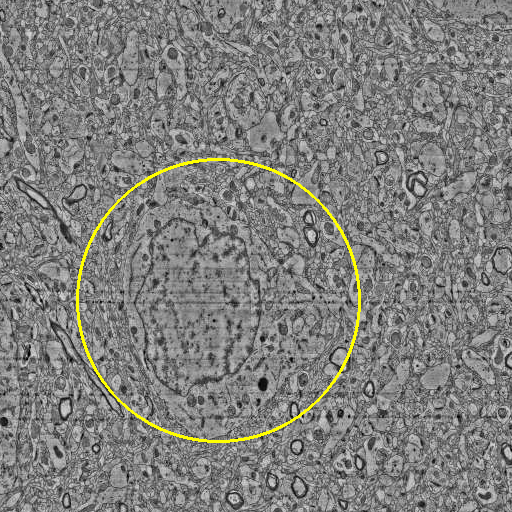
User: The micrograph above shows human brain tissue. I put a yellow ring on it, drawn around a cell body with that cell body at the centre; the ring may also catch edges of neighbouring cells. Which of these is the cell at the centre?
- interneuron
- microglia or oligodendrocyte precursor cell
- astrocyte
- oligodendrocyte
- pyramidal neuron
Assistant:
interneuron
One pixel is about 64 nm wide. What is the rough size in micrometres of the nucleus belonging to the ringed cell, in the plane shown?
The nucleus measures about 11 by 8 micrometres in this plane.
